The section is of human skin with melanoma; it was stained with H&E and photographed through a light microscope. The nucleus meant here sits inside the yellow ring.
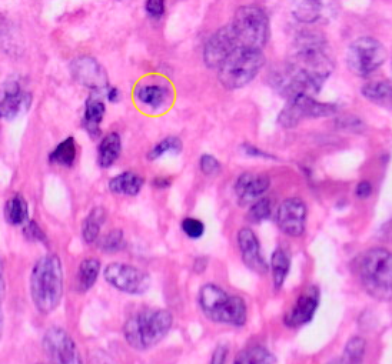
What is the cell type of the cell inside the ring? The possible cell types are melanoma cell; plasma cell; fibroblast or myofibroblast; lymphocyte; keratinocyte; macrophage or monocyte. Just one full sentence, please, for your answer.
To be brief about it, the cell inside the ring is a lymphocyte.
